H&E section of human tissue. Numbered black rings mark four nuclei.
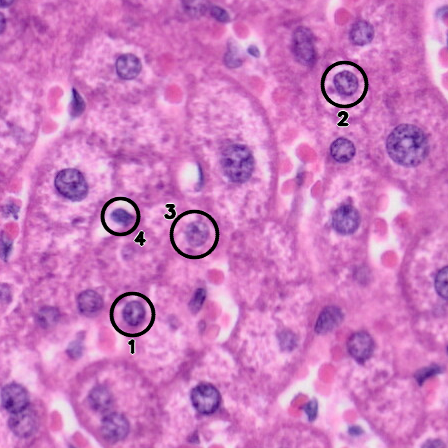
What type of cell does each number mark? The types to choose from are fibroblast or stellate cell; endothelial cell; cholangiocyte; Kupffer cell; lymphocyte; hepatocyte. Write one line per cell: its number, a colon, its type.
1: hepatocyte
2: hepatocyte
3: hepatocyte
4: lymphocyte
